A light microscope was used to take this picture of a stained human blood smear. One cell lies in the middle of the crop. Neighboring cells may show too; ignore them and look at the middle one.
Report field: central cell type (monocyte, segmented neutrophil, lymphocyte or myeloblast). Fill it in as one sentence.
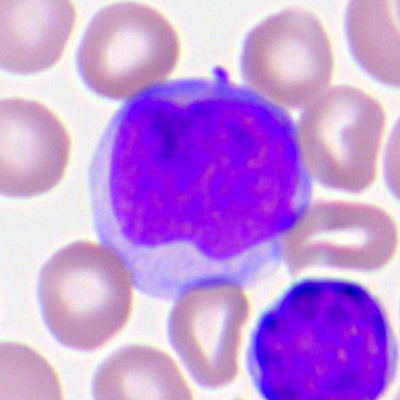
The cell that lies at the centre of the crop is a myeloblast.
